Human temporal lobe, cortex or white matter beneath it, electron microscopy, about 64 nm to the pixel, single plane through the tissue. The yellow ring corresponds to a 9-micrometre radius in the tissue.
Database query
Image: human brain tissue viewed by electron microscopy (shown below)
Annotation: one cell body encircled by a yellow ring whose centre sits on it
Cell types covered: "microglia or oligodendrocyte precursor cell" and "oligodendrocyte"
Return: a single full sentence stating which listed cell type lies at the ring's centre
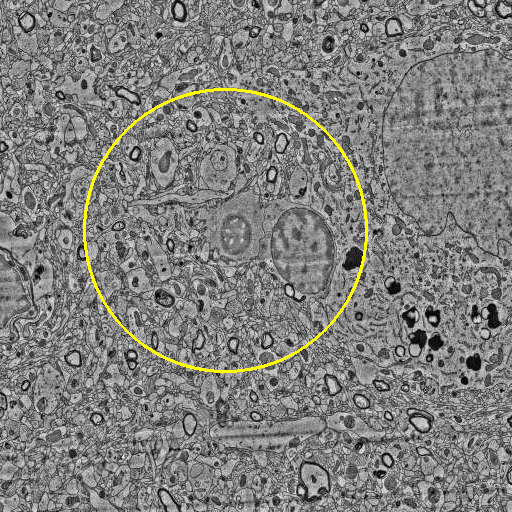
In the image, the cell lying at the ring's centre is an oligodendrocyte.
